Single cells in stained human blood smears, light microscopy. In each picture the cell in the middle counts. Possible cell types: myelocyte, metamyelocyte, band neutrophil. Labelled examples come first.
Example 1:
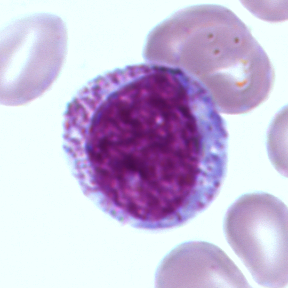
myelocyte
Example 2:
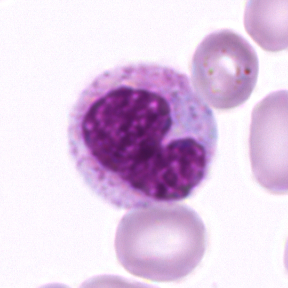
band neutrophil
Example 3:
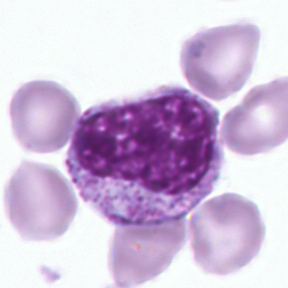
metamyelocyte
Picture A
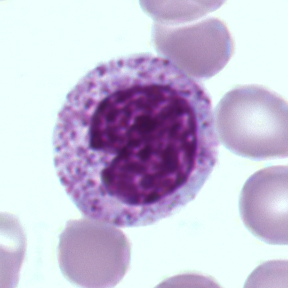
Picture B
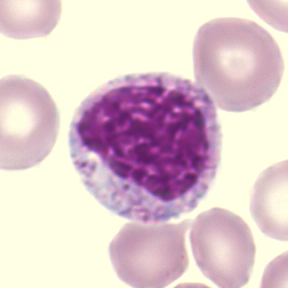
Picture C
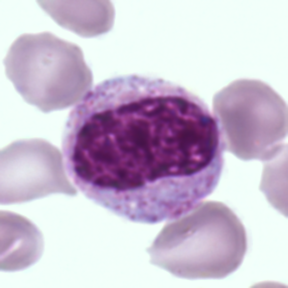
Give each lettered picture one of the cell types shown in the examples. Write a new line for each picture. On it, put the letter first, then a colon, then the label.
A: band neutrophil
B: myelocyte
C: metamyelocyte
